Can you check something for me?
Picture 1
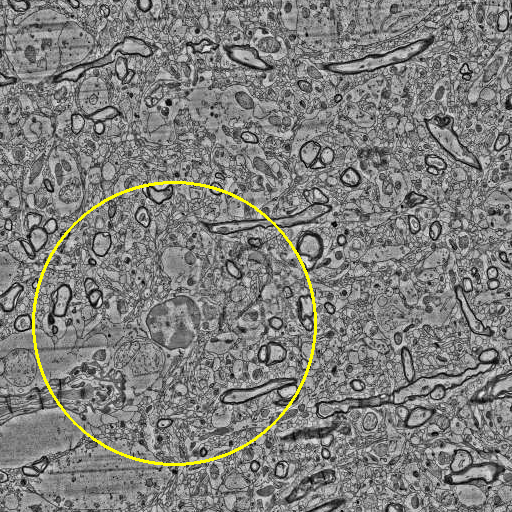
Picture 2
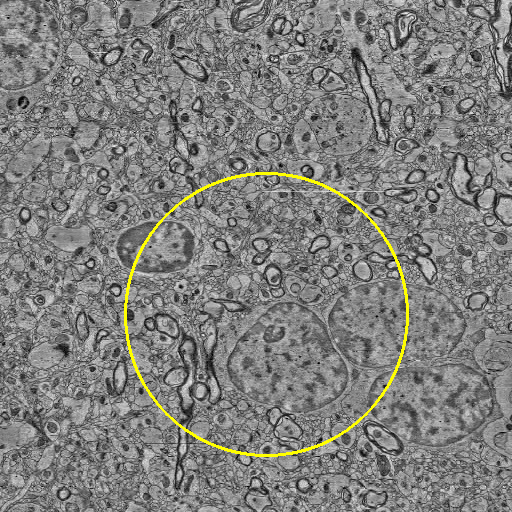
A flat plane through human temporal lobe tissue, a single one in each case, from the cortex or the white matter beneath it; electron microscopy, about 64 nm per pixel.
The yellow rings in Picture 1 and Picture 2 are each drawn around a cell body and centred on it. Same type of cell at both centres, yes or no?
no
